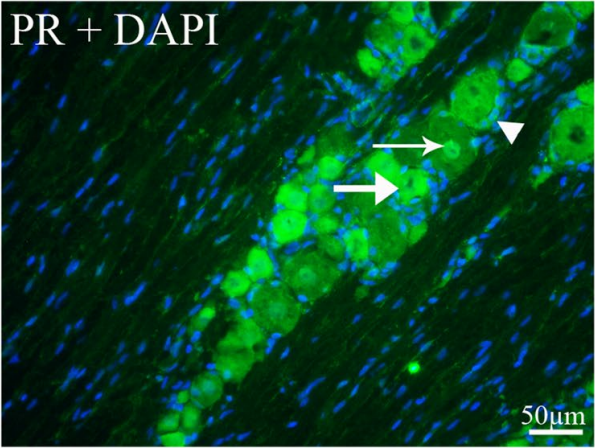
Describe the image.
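This is ganglion tissue with a diagonal band of clustered large round neuronal cell bodies flanked by bundles of nerve fibres. Small blue nuclei sit tightly against the neuronal edges, marking the satellite glial cells around each cell body. On both sides, the fibre bundles are only faintly green and run parallel to the band, with many elongated, spindle-shaped blue nuclei of Schwann cells scattered in line with the fibres.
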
